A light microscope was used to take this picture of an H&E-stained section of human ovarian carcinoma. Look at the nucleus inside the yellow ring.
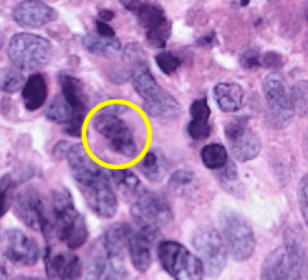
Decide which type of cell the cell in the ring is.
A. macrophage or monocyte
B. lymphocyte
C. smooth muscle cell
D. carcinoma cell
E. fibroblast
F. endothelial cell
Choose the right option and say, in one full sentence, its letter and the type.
Option D wins here: the cell in the ring is a carcinoma cell.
